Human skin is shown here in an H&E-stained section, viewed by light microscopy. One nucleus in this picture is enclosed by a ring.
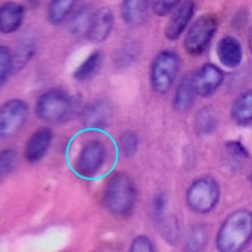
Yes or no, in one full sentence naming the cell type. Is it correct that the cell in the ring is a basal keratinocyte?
Yes, a basal keratinocyte is what the cell in the ring is in this section.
